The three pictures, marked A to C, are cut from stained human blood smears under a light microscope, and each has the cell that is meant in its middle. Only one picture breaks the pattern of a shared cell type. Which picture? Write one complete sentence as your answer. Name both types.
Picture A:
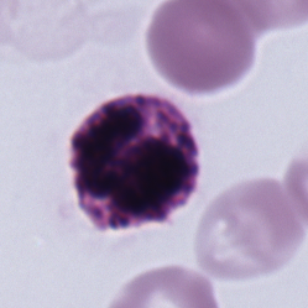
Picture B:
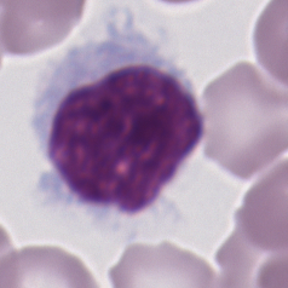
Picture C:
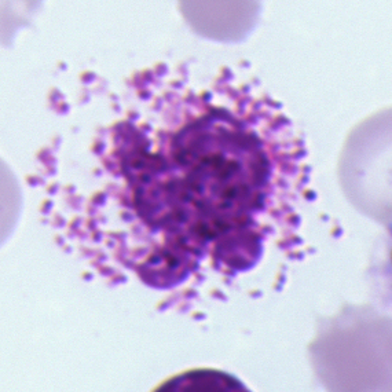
Unlike the rest, which show basophils, picture B shows a hairy cell.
